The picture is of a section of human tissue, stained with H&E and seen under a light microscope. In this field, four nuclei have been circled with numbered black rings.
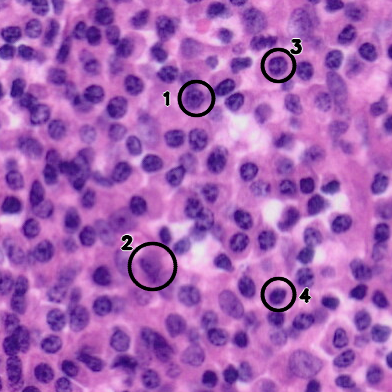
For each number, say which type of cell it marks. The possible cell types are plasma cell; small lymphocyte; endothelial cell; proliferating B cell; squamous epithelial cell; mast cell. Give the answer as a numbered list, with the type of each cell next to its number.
1. plasma cell
2. squamous epithelial cell
3. plasma cell
4. plasma cell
